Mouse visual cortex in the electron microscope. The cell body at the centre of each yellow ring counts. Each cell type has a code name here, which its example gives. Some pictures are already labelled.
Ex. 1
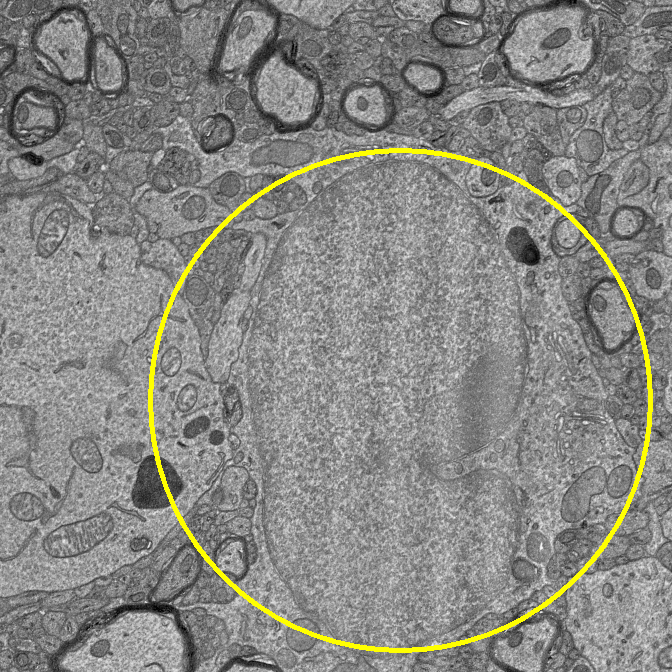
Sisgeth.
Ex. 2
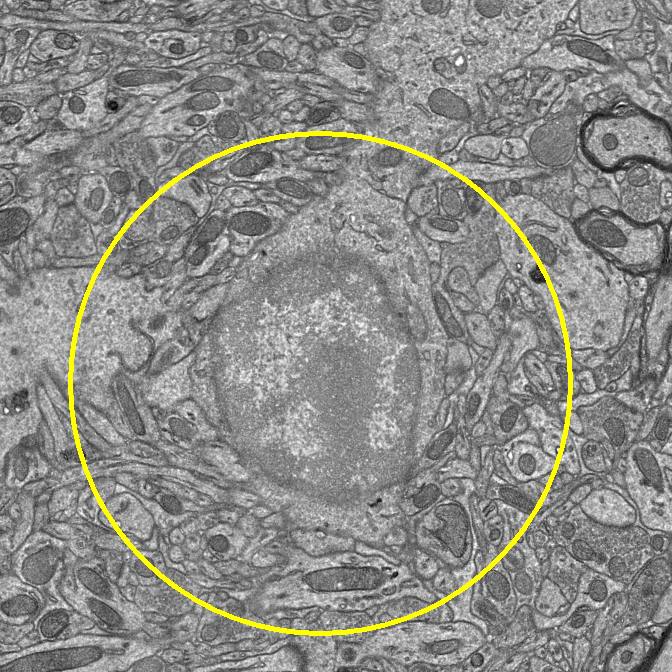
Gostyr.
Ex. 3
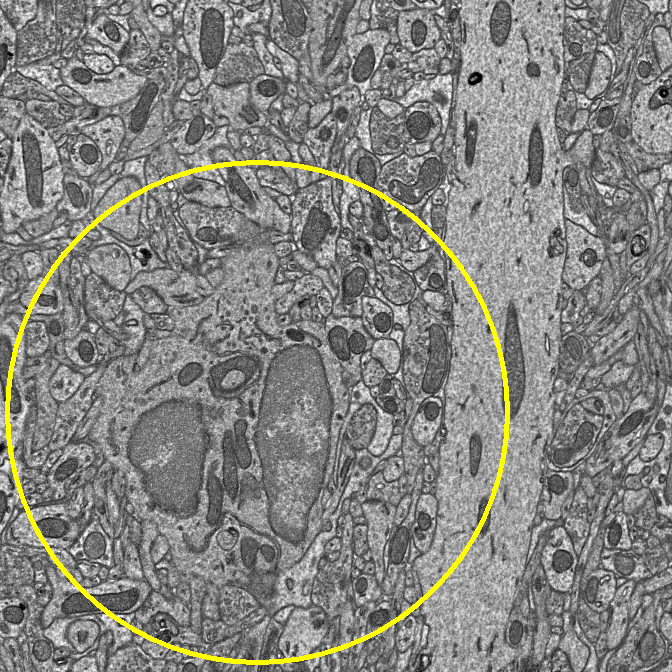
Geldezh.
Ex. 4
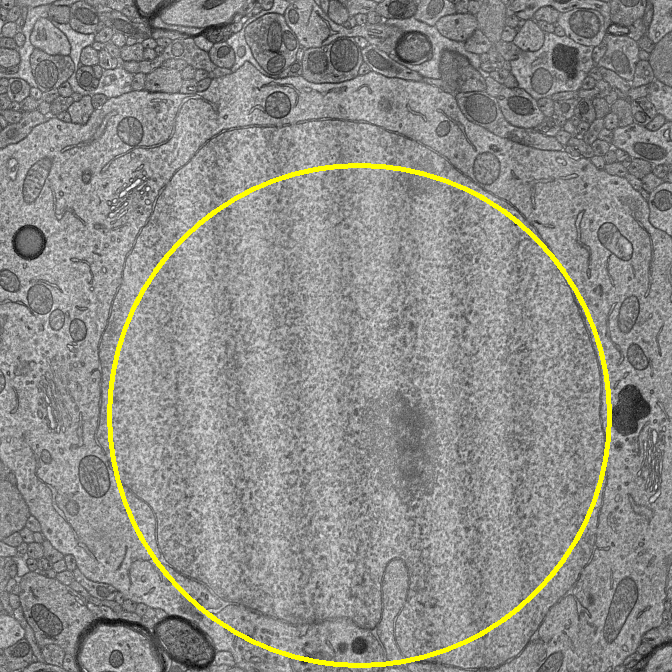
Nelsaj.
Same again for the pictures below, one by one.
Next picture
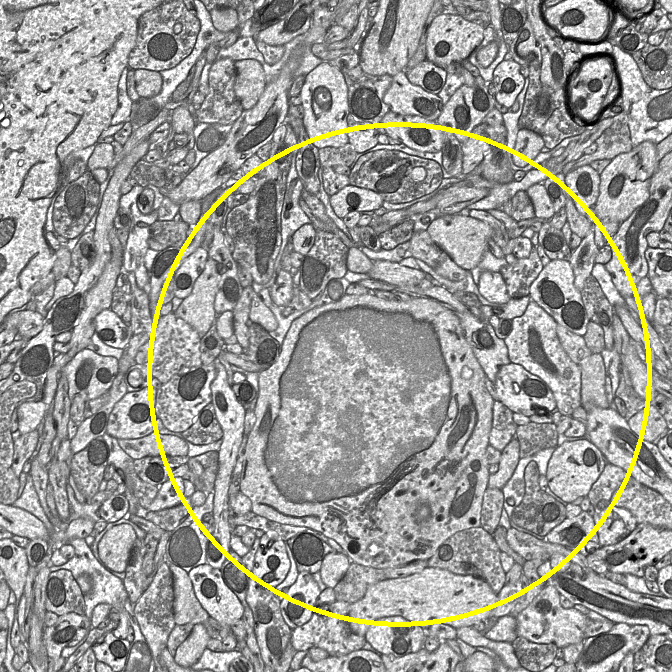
Geldezh.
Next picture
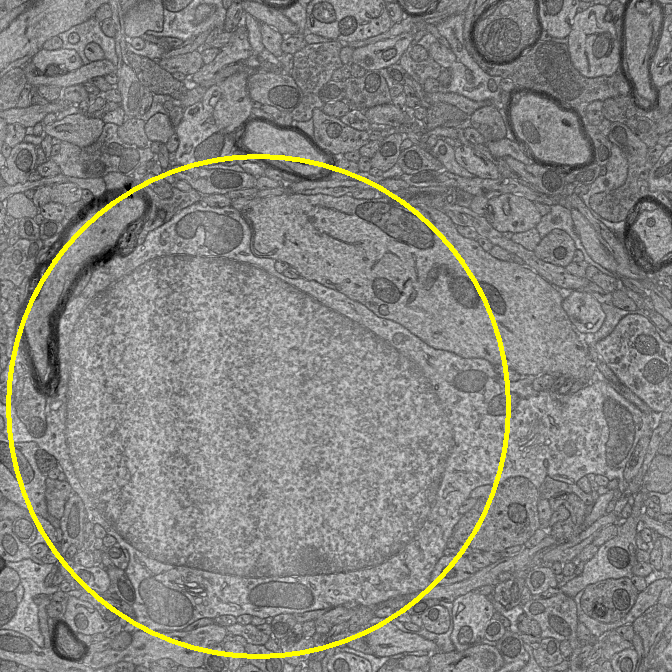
Sisgeth.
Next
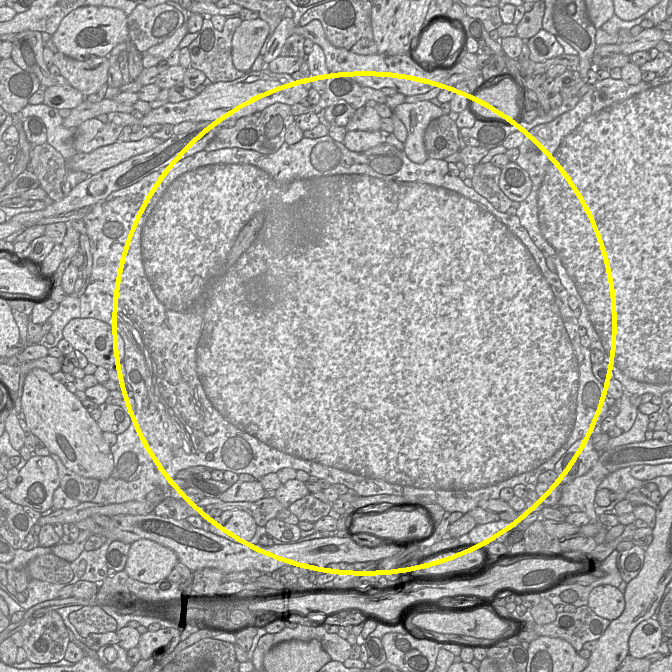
Sisgeth.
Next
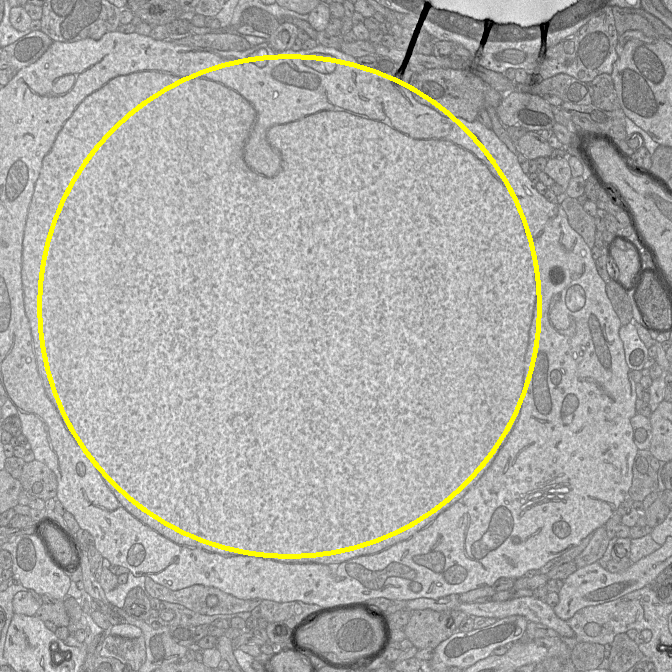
Nelsaj.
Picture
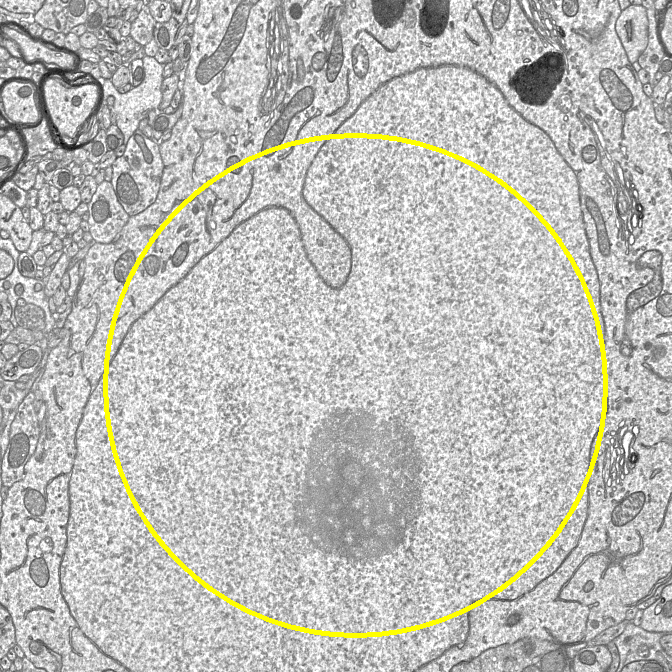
Nelsaj.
